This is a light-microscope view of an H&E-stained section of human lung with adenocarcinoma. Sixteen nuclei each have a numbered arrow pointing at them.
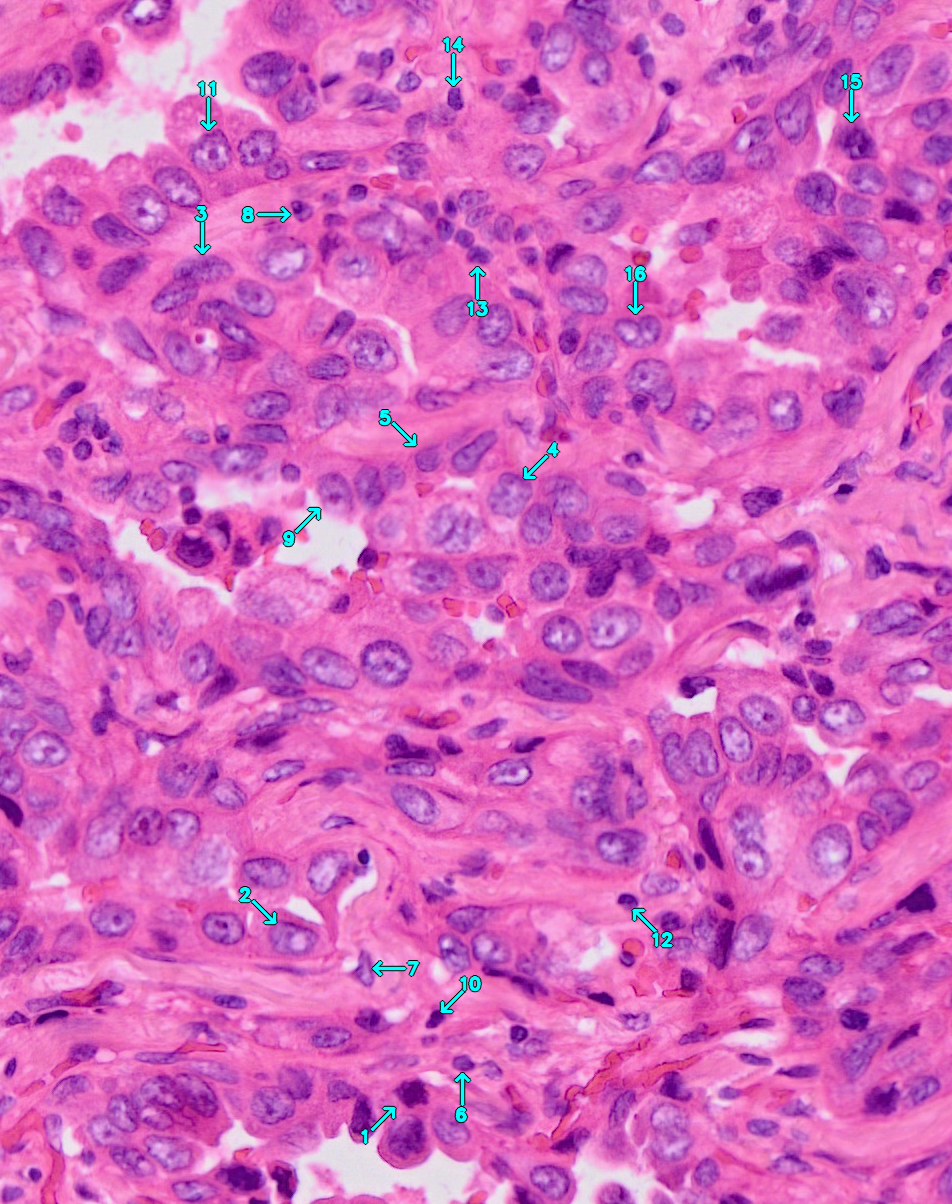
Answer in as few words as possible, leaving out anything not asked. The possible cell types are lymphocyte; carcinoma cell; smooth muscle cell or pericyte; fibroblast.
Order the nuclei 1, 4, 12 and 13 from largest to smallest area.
4, 1, 13, 12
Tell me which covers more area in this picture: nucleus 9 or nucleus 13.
9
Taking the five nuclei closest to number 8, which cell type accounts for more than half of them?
lymphocyte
